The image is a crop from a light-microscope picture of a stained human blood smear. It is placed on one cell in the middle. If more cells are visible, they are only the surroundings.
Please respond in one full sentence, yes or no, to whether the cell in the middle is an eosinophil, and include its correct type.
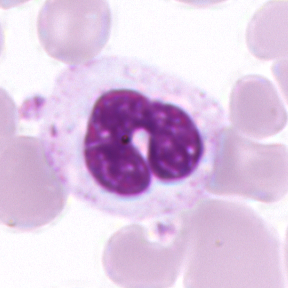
No, the centrally placed cell is a band neutrophil, not an eosinophil.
